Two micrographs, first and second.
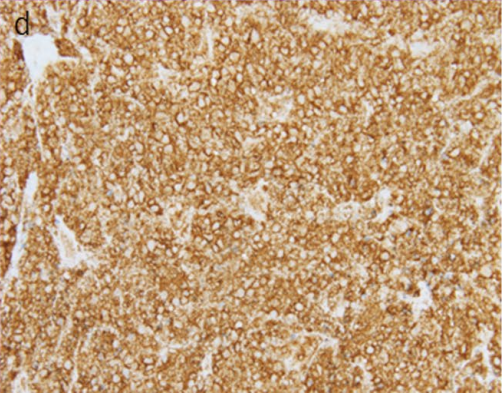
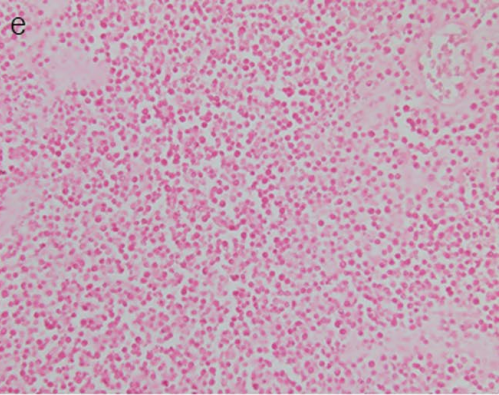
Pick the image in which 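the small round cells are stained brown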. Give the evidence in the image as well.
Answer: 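Second image: the packed small round cells are pale pink with no brown or dark nuclear signal. First image: the packed small round cells are diffusely brown. On this evidence: the first image.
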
